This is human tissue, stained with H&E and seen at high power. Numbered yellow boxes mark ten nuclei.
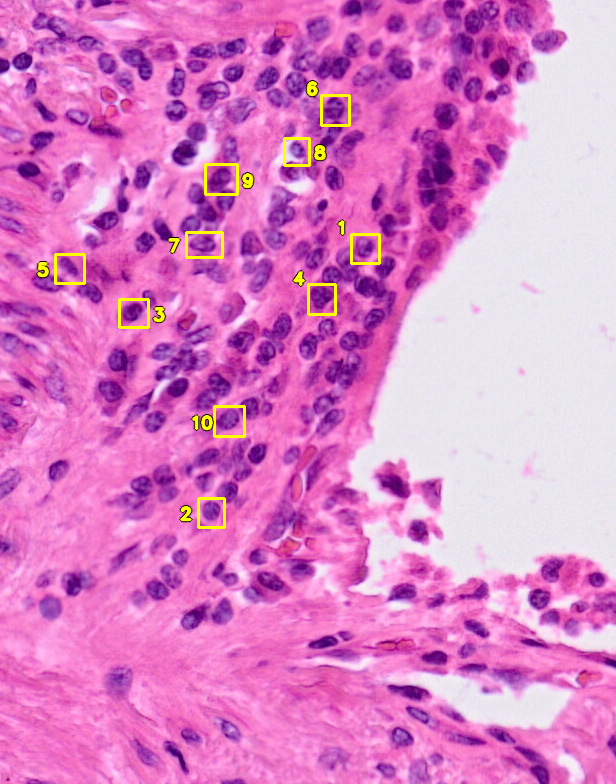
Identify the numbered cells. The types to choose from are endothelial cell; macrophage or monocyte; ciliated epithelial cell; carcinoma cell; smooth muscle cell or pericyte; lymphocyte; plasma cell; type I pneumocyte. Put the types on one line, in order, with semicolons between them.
lymphocyte; lymphocyte; plasma cell; plasma cell; plasma cell; lymphocyte; lymphocyte; lymphocyte; plasma cell; lymphocyte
